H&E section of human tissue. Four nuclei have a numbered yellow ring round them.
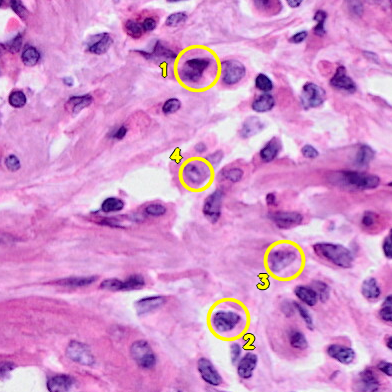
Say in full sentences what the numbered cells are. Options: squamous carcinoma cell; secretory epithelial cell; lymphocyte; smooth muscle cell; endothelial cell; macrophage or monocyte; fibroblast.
Cells 1, 3 and 4 are macrophages or monocytes. Cell 2 is a lymphocyte.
